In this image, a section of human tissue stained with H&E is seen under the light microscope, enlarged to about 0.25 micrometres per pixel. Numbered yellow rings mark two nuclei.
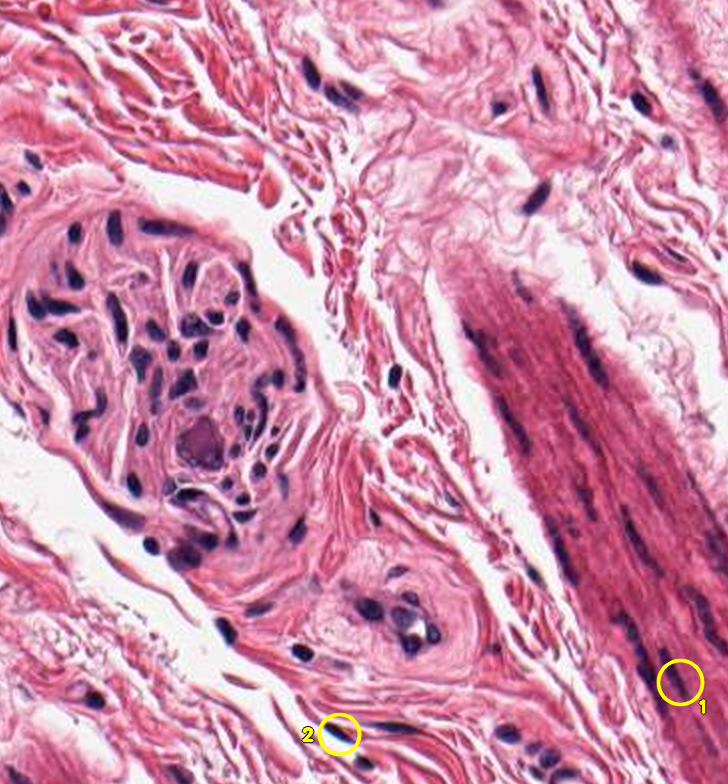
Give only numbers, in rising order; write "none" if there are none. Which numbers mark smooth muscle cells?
1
